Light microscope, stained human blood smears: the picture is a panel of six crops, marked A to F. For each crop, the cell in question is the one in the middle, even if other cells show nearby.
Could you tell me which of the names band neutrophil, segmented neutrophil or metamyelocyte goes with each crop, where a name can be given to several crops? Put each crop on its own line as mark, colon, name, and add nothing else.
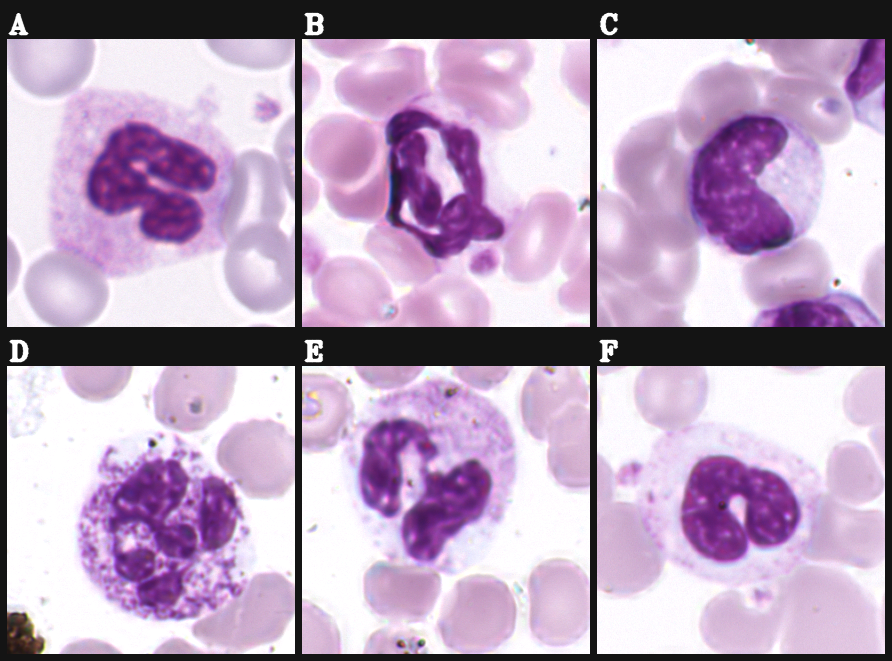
A: segmented neutrophil
B: segmented neutrophil
C: metamyelocyte
D: segmented neutrophil
E: segmented neutrophil
F: band neutrophil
